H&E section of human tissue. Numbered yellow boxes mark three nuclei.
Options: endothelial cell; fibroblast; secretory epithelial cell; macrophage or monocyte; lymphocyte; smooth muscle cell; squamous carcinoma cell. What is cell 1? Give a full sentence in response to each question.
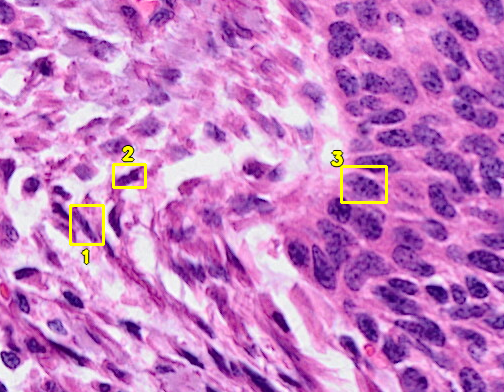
Numbered cell 1 is a fibroblast in this tissue section.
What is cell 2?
Cell number 2 in this section is a fibroblast.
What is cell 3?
Recognised here as a squamous carcinoma cell is the cell numbered 3.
